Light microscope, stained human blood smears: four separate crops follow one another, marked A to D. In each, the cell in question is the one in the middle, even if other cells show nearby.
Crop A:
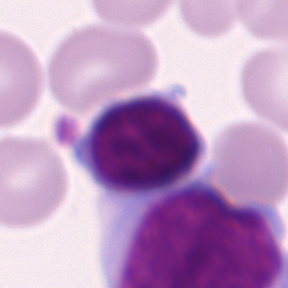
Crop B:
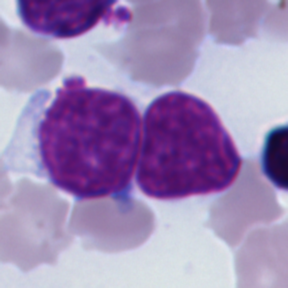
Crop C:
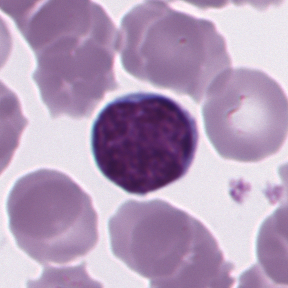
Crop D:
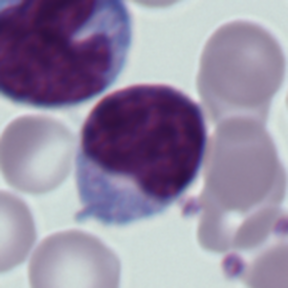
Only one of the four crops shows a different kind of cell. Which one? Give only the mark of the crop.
B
